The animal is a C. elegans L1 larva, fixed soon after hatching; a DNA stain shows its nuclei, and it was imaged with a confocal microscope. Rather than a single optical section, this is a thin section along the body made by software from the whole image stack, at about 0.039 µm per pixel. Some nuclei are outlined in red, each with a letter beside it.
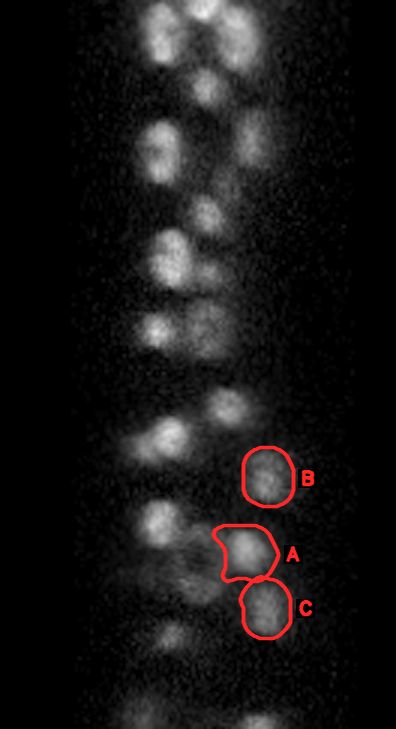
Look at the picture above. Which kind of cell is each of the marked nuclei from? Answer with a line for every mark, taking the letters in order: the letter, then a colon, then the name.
A: body wall muscle cell
B: P cell (ventral epidermal blast cell)
C: seam cell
